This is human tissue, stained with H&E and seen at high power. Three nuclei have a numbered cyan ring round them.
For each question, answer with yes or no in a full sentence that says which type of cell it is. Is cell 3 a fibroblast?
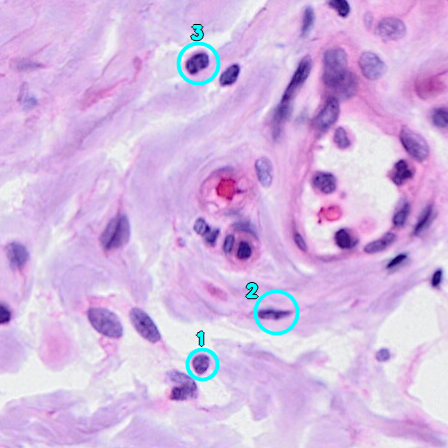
No, number 3 belongs to a lymphocyte, not to a fibroblast.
